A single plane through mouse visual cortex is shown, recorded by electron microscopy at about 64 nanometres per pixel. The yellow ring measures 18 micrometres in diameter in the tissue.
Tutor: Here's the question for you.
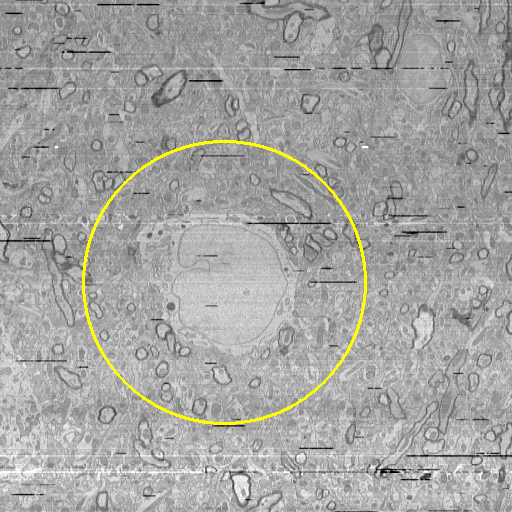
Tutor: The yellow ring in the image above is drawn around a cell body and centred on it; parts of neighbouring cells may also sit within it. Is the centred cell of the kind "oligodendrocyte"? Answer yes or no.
no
